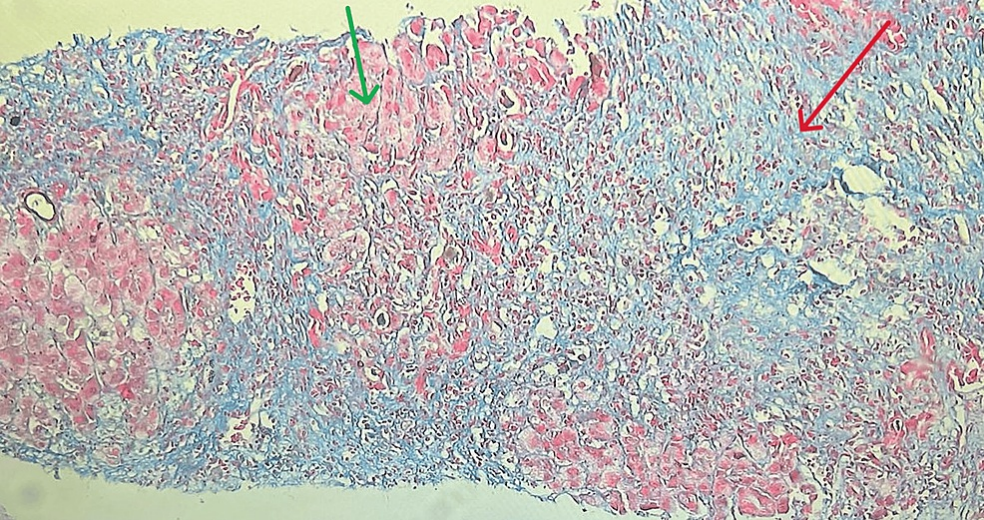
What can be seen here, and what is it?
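Liver tissue in which islands of hepatocytes are separated and surrounded by extensive fibrosis. The hepatocytes are large polygonal cells with pink-red cytoplasm and round nuclei, lying in small clusters and nodular groups, most compactly at the left edge and lower centre. Scattered small dark nuclei lie within the blue fibrous tissue, and a few small vessel-like spaces and clefts are present. The normal plate-like arrangement of liver cells is largely disrupted.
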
